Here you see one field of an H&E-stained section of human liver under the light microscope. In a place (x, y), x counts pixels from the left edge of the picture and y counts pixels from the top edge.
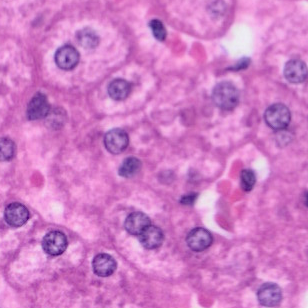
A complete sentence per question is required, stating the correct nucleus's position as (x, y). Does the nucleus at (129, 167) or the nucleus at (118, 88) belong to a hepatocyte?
The nucleus whose cell is a hepatocyte is the one at (118, 88).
